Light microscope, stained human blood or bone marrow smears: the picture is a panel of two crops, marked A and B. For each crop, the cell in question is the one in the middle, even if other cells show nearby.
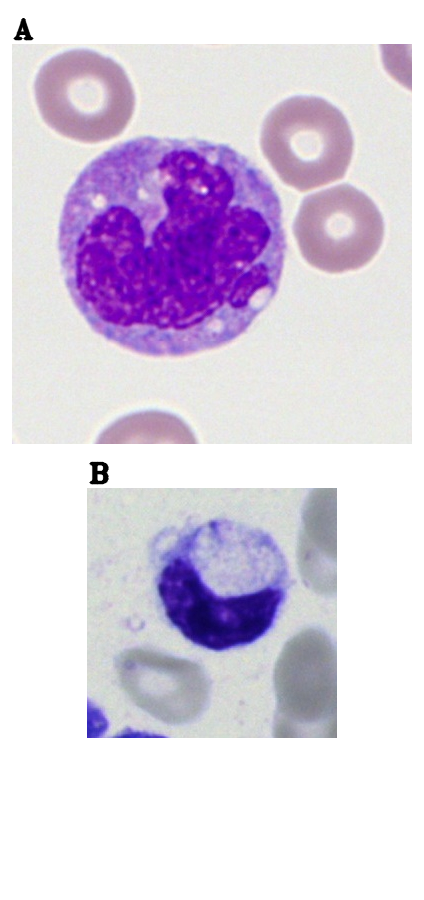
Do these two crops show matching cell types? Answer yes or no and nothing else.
yes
